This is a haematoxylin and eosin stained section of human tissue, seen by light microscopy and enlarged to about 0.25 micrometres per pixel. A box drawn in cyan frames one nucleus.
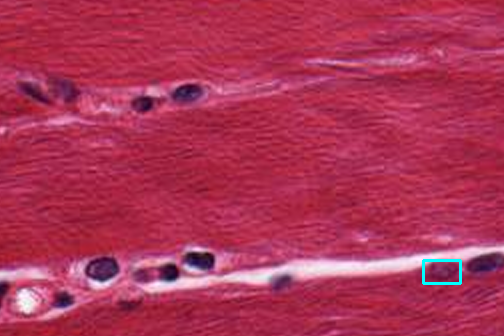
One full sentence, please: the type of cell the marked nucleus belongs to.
A nucleus of a skeletal muscle fibre is the one that is marked.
